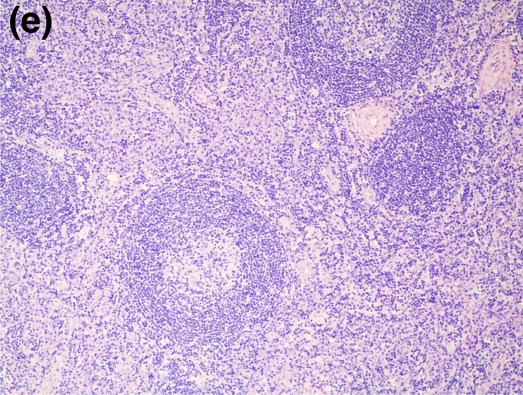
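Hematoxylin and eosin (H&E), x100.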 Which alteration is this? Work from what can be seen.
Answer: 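Several enlarged lymphoid follicles with pale germinal centres. Follicles are ringed by dark mantles of small lymphocytes. The answer: follicular hyperplasia.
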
